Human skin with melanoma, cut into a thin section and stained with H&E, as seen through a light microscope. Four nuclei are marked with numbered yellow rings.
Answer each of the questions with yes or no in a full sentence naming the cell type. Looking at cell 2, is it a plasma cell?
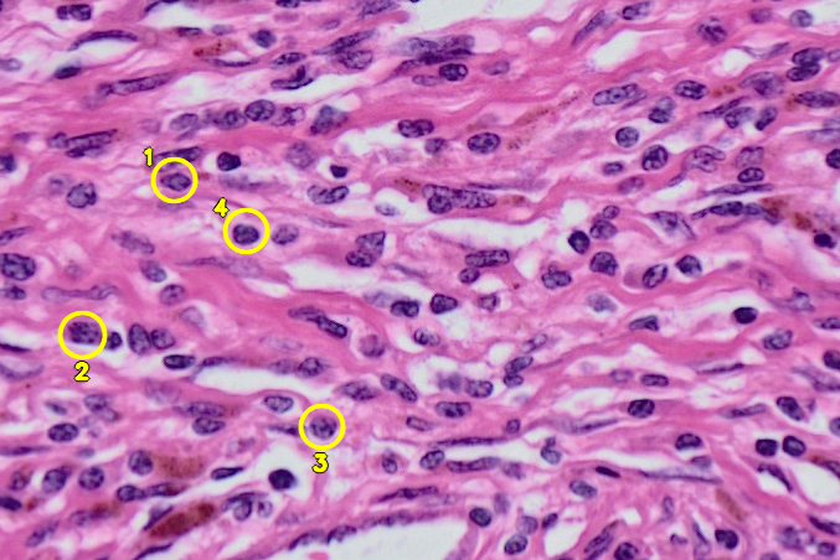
Yes, the cell labelled with number 2 is a plasma cell.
